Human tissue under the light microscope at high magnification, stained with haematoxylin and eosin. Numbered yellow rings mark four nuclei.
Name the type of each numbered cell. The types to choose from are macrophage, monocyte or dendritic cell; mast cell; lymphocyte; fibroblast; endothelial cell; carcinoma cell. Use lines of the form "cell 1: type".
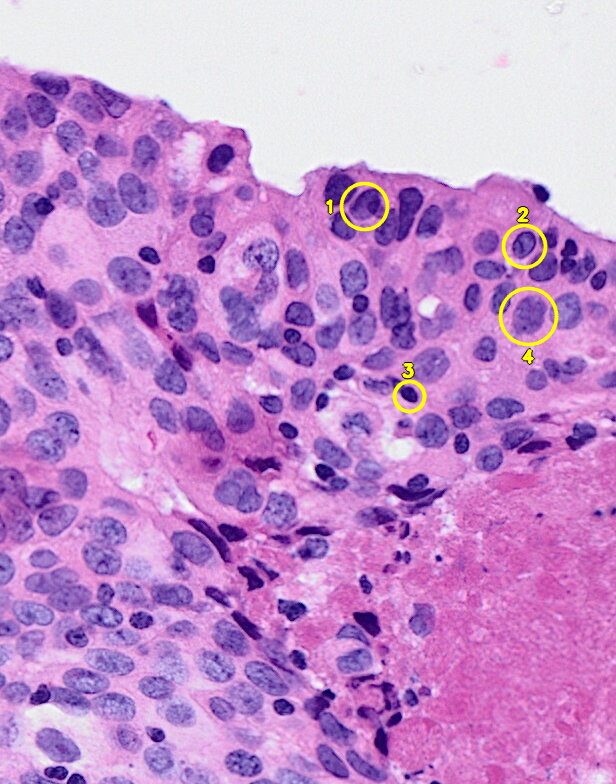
cell 1: carcinoma cell
cell 2: carcinoma cell
cell 3: lymphocyte
cell 4: carcinoma cell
